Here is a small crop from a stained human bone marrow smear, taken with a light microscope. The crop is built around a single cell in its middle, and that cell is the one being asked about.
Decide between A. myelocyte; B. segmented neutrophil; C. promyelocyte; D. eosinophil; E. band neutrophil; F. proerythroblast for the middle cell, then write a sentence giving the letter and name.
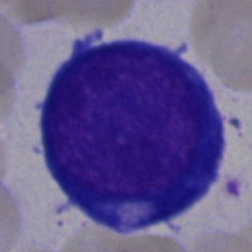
The correct response is option F, naming the cell in the middle as a proerythroblast.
